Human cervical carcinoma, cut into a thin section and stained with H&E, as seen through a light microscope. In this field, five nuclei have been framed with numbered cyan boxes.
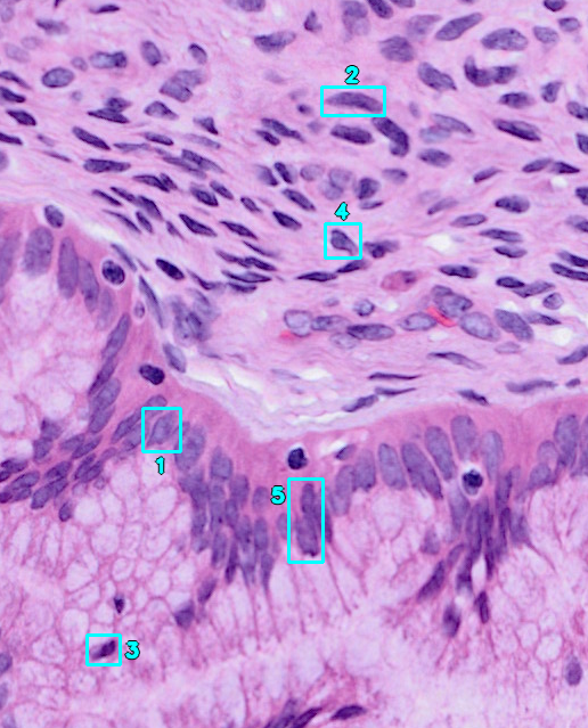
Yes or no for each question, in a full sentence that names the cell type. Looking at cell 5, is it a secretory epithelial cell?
Yes, the cell labelled with number 5 is a secretory epithelial cell.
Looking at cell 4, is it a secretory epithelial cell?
No, number 4 belongs to a fibroblast, not to a secretory epithelial cell.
